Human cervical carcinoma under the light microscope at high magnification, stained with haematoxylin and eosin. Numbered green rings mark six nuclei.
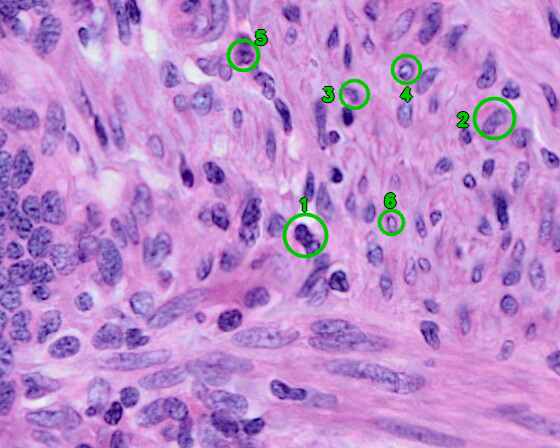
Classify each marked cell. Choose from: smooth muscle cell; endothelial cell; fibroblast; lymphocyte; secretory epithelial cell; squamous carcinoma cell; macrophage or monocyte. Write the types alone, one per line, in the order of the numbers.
lymphocyte
smooth muscle cell
smooth muscle cell
smooth muscle cell
macrophage or monocyte
smooth muscle cell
